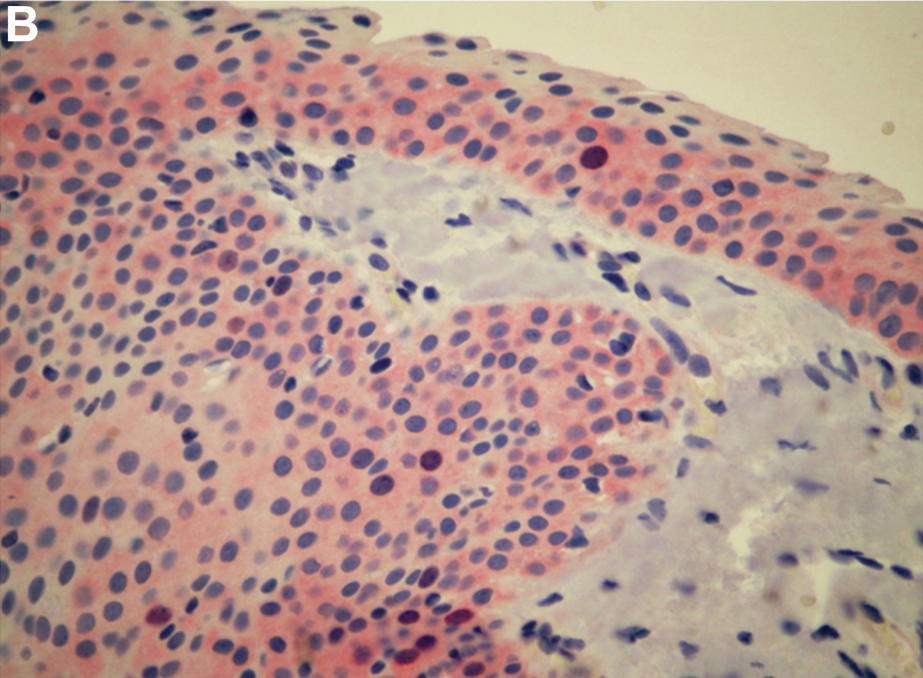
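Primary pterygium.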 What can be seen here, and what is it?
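A stratified epithelium, partly cut tangentially, borders a pale fibrous lamina propria. The epithelial cells are closely packed with round to oval blue nuclei and moderately red cytoplasm, most evident in the lower and middle layers, while the surface cells are flatter. Scattered among them are nuclei stained dark red-purple rather than blue.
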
